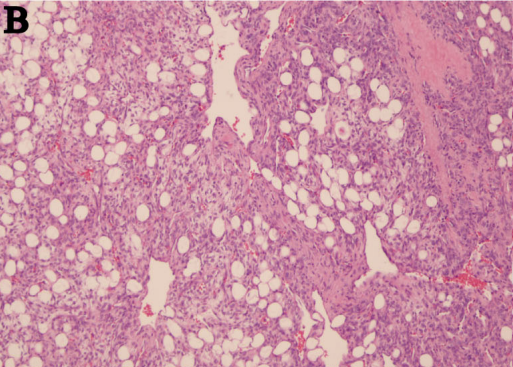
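This is a spindle-cell tumour intermixed with mature fat. Many round, clear, empty spaces of different sizes are scattered throughout. Irregular, branching vessels with open lumens and some red blood cells run through the tissue.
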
